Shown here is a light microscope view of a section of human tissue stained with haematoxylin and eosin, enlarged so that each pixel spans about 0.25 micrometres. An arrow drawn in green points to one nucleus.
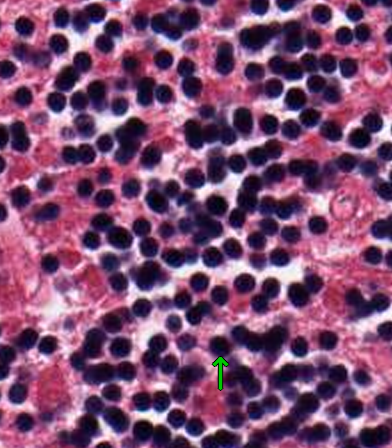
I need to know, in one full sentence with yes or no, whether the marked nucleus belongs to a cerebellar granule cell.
Yes, the cell to which the marked nucleus belongs is a cerebellar granule cell.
